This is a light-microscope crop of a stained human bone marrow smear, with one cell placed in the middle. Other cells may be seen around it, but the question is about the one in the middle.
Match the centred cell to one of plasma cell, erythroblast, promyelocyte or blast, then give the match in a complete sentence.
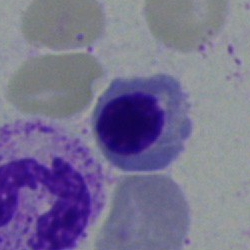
The centrally positioned cell in the crop represents an erythroblast.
